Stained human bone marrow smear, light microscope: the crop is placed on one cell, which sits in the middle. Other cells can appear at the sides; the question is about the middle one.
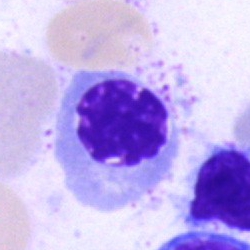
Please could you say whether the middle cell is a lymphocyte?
no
